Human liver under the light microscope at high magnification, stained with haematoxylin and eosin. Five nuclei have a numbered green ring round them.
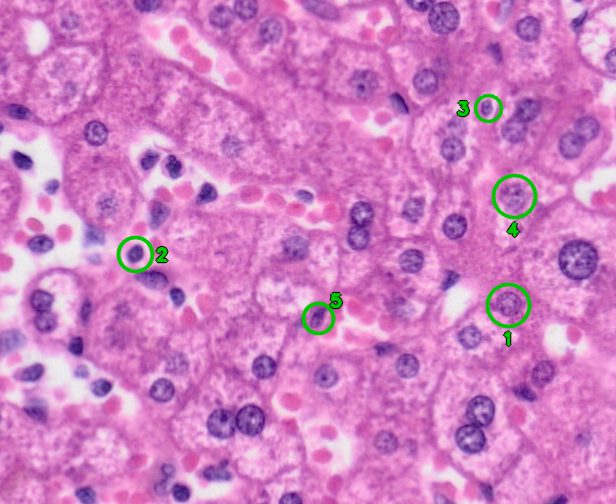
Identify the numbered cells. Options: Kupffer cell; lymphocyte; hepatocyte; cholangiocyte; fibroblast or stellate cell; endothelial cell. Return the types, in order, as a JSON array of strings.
["hepatocyte", "lymphocyte", "lymphocyte", "hepatocyte", "Kupffer cell"]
